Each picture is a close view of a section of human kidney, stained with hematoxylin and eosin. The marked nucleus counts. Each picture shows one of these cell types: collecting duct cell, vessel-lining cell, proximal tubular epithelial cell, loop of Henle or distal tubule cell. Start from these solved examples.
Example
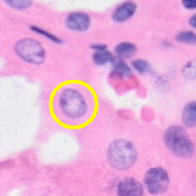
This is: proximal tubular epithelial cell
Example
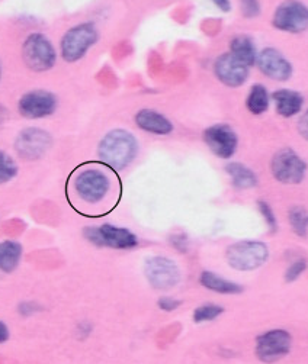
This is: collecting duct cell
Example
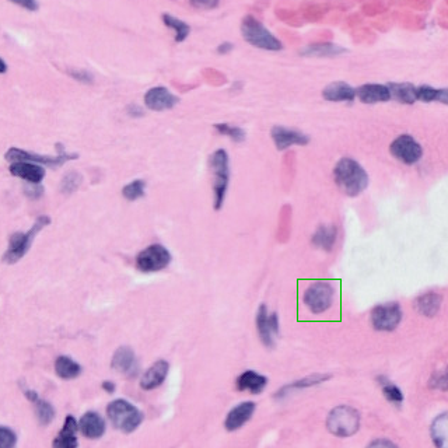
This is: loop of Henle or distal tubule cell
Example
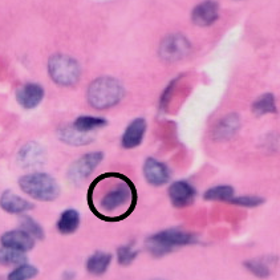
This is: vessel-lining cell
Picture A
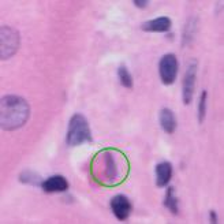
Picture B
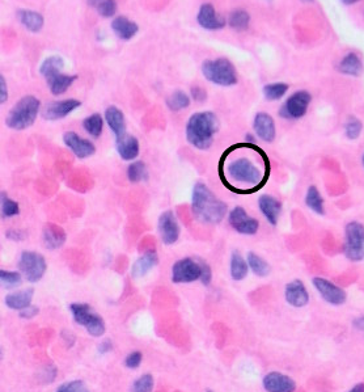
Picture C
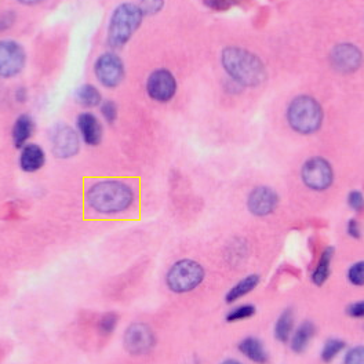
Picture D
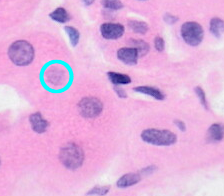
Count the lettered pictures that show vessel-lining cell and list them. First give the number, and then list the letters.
2: A, B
